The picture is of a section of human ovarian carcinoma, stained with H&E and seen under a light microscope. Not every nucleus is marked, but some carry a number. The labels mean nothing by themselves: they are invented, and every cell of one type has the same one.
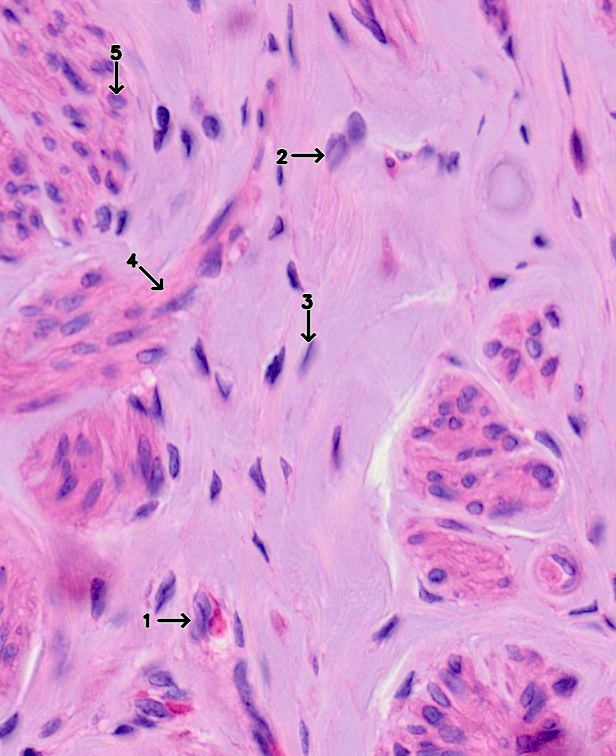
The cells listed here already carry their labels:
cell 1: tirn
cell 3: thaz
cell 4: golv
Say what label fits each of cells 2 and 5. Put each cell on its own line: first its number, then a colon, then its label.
2: thaz
5: golv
